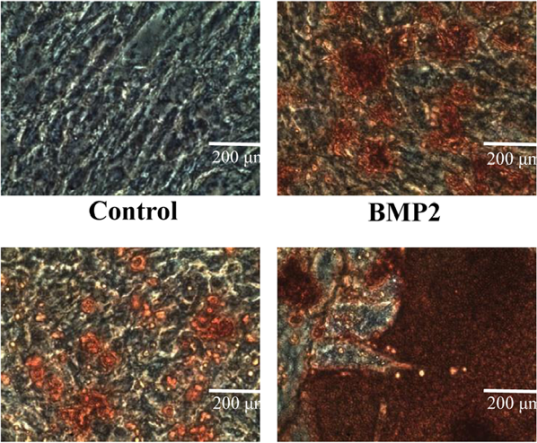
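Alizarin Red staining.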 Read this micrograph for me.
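In the top-left field the elongated, spindle-shaped cells lie closely packed in parallel streams, and no red deposits can be seen among them. In the top-right and bottom-left fields, rounded red-orange nodules of various sizes are scattered over the cell layer, with the cells still visible between them. In the bottom-right field much of the area is covered by a broad, dark red stained sheet, with only a small strip of pale unstained cells at the upper left.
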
